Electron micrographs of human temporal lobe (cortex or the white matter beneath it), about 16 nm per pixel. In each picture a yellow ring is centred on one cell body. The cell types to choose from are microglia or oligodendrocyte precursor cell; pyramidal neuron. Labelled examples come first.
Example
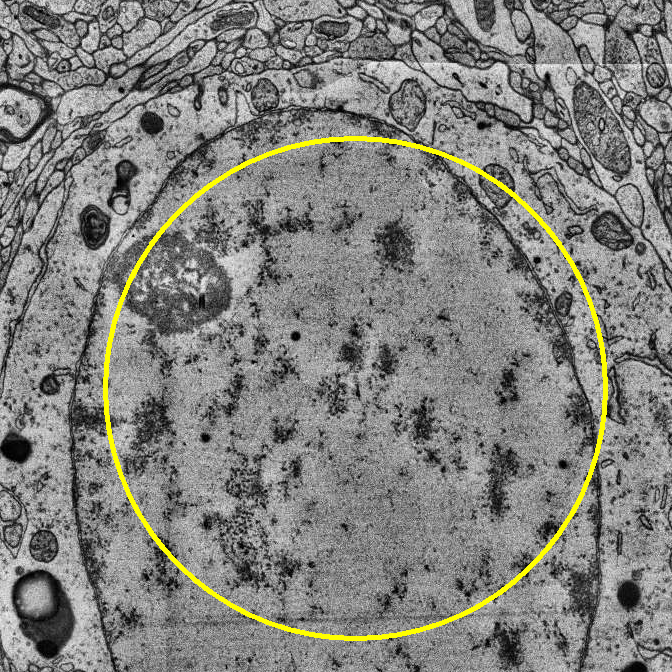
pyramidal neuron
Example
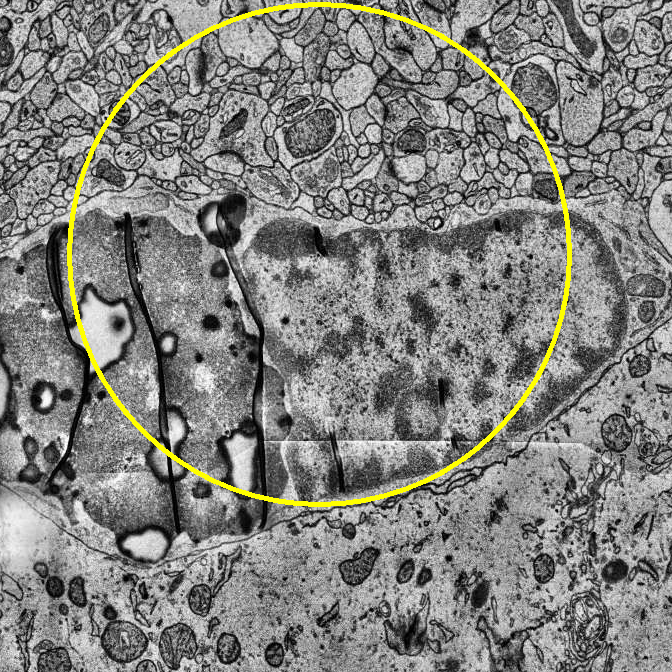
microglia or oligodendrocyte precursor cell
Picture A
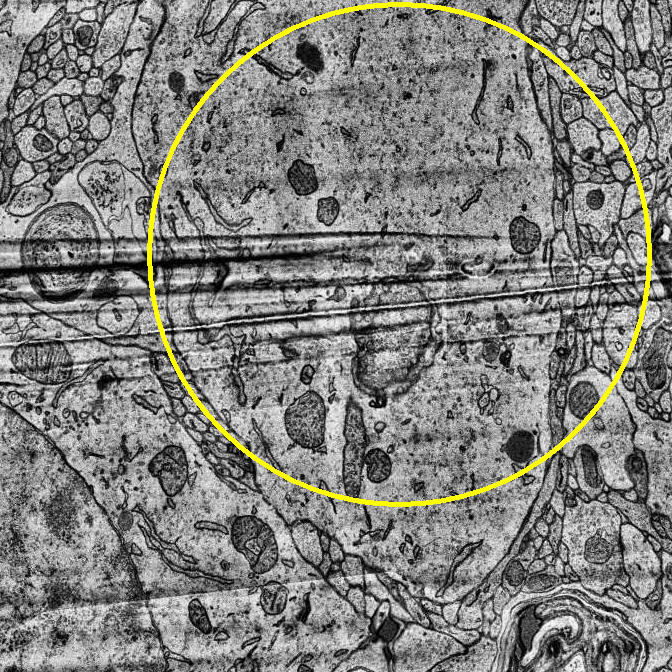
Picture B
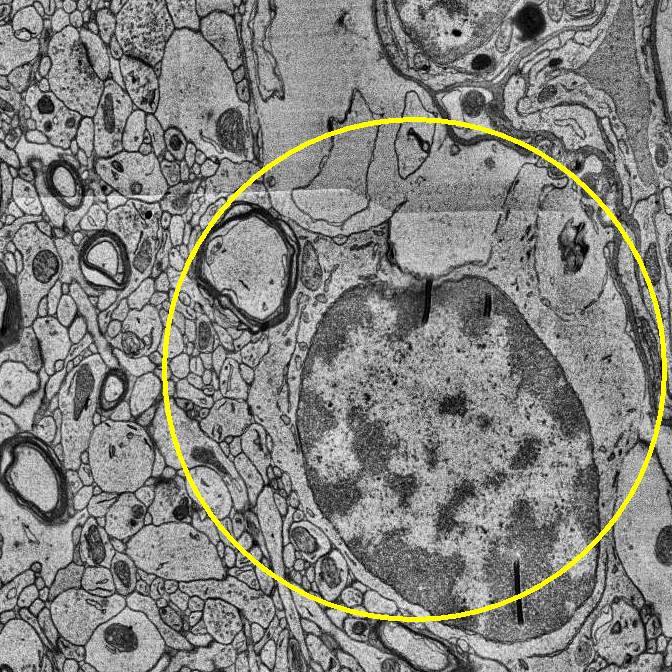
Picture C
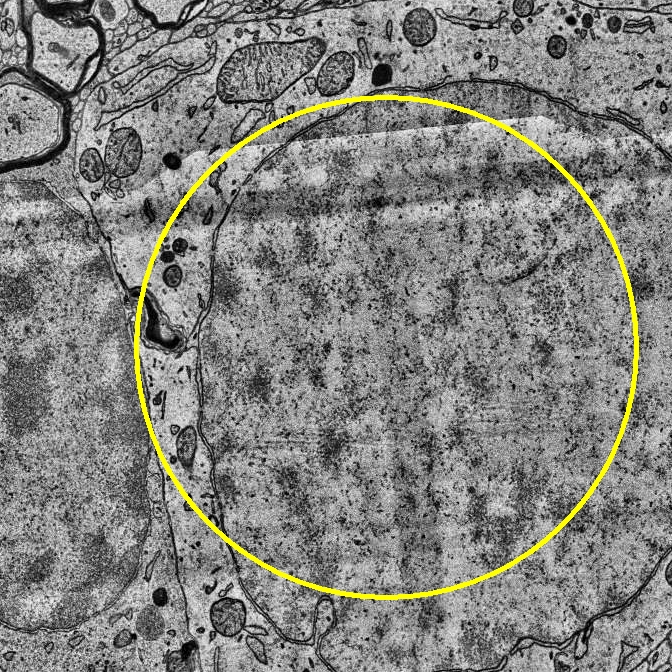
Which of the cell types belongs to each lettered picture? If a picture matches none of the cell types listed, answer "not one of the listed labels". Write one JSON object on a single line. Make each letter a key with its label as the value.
{"A": "pyramidal neuron", "B": "microglia or oligodendrocyte precursor cell", "C": "pyramidal neuron"}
